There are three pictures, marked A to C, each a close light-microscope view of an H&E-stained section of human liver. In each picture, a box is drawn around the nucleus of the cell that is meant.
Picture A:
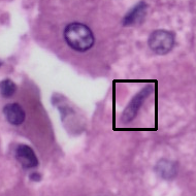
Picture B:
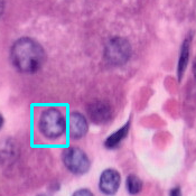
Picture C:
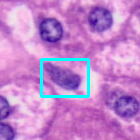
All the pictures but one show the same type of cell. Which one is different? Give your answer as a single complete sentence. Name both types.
Picture B is the odd one out: it shows a cholangiocyte, while the others show Kupffer cells.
